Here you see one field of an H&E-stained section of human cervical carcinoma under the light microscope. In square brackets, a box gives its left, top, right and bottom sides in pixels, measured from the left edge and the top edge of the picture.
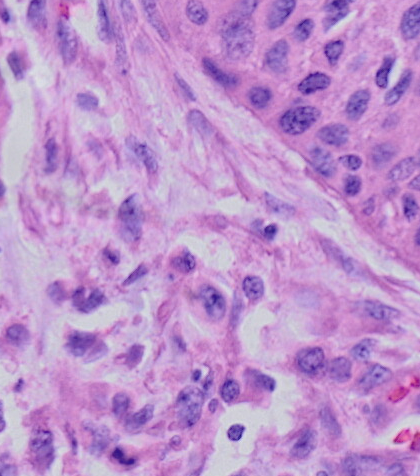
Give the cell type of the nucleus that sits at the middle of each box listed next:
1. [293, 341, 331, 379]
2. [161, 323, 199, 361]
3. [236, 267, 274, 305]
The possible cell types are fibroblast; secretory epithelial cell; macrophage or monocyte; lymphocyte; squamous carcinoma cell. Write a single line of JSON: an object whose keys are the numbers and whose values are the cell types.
{"1": "macrophage or monocyte", "2": "fibroblast", "3": "macrophage or monocyte"}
